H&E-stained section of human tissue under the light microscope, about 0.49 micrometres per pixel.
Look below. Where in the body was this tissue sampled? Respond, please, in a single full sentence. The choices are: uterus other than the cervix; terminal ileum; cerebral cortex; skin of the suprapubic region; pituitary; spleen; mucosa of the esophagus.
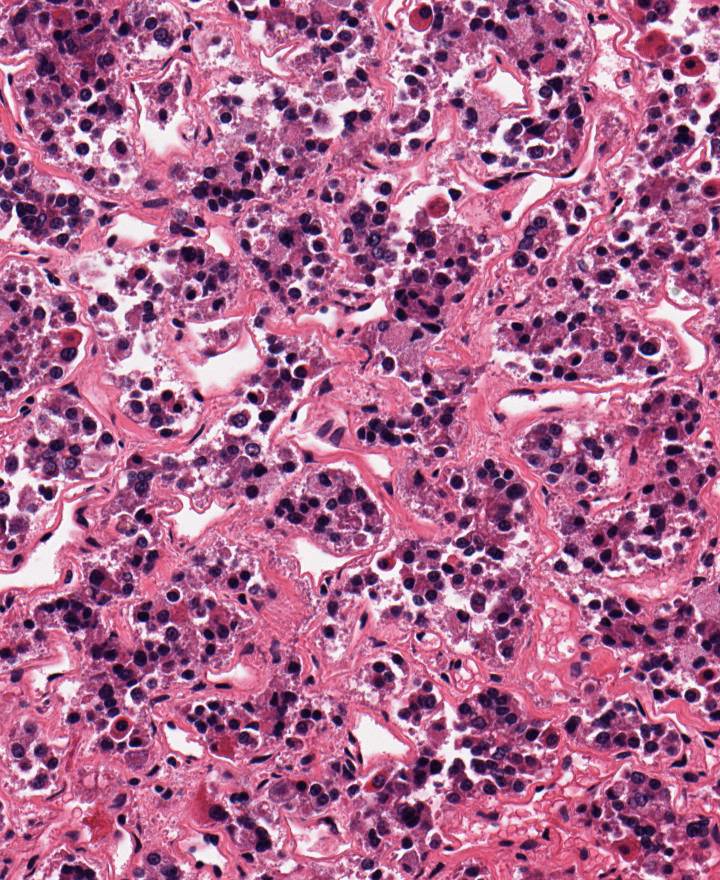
From the pituitary this tissue was sampled.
